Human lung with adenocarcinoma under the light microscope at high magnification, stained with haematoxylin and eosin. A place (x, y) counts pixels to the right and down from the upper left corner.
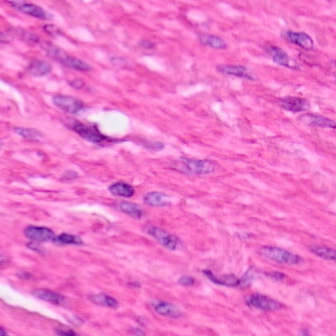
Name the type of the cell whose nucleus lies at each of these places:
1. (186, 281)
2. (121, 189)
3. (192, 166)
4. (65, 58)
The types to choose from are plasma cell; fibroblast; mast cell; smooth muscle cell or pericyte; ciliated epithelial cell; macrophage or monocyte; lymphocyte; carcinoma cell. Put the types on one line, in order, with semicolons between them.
smooth muscle cell or pericyte; mast cell; smooth muscle cell or pericyte; smooth muscle cell or pericyte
